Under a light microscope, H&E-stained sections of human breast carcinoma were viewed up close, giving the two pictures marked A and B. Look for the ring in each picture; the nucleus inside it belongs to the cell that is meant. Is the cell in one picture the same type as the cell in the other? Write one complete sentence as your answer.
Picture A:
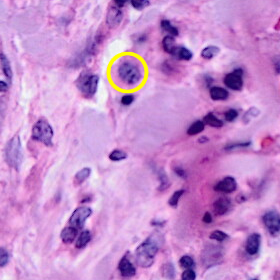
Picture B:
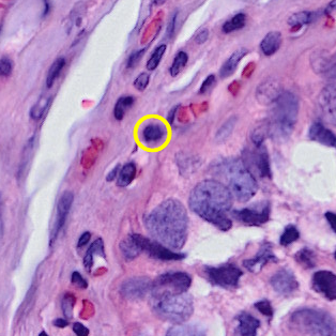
Yes, they are the same type: both are mast cells.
